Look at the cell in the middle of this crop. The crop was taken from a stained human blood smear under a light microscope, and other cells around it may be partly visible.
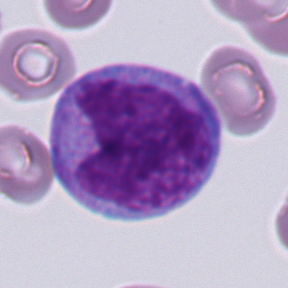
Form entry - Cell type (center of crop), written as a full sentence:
The crop's centre is taken up by an atypical promyelocyte.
